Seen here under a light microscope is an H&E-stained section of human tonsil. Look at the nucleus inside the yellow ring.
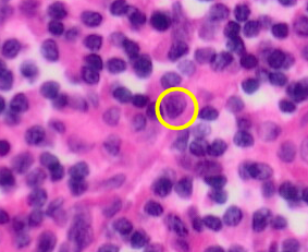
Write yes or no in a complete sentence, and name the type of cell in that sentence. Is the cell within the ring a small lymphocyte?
No, the cell within the ring is recognized as an endothelial cell rather than a small lymphocyte.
